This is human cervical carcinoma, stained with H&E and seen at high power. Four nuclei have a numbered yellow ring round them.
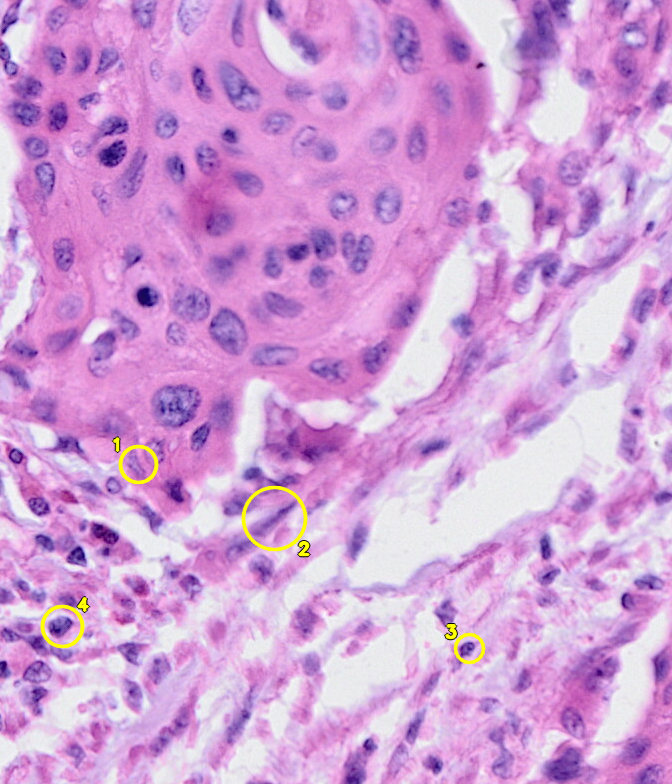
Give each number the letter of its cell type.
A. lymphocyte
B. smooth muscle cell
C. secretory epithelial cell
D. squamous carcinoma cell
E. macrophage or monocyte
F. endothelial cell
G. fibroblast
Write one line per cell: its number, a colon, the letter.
1: D
2: G
3: A
4: A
